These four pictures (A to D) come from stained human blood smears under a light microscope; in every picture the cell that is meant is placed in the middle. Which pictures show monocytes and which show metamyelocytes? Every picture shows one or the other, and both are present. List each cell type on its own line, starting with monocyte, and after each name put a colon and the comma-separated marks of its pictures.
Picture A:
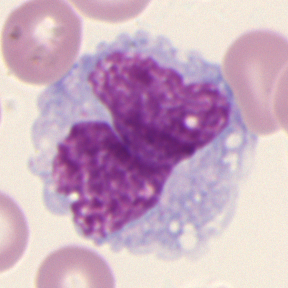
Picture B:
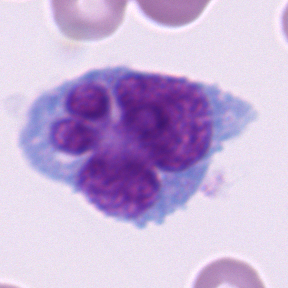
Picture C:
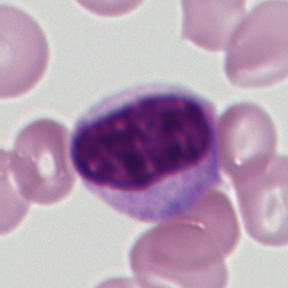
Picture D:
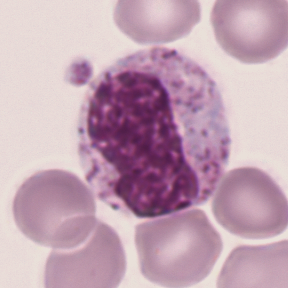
monocyte: A, B
metamyelocyte: C, D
